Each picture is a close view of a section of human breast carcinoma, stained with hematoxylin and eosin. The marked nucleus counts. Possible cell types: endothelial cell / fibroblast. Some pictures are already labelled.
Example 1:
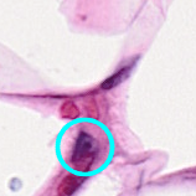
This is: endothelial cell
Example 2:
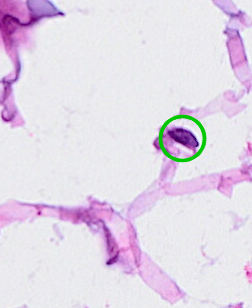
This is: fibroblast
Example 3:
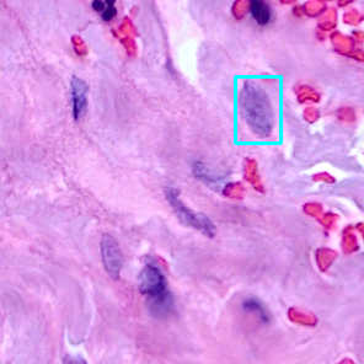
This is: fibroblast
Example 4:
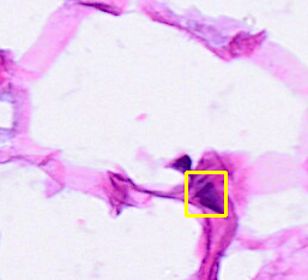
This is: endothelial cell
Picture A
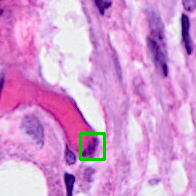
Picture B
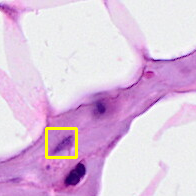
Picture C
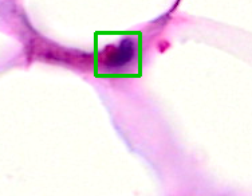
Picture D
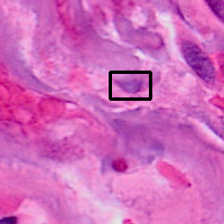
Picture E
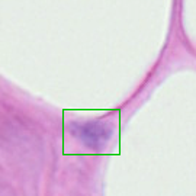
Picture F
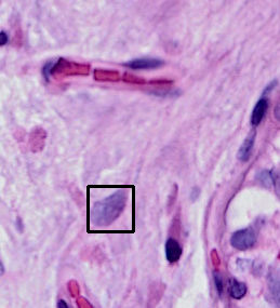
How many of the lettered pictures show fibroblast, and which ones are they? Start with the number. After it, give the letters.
Count: 4 (B, D, E, F)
